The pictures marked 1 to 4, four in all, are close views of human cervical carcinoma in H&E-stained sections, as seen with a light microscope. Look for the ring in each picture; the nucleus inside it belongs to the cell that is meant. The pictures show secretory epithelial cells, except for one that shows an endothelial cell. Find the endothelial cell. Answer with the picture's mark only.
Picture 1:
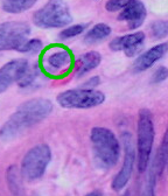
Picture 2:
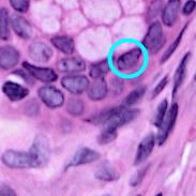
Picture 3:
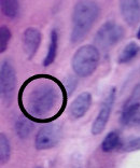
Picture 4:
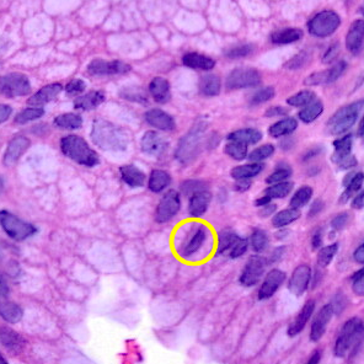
1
